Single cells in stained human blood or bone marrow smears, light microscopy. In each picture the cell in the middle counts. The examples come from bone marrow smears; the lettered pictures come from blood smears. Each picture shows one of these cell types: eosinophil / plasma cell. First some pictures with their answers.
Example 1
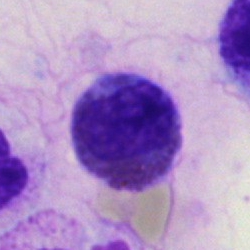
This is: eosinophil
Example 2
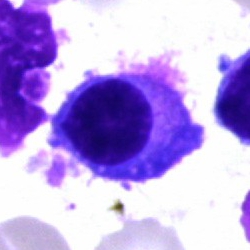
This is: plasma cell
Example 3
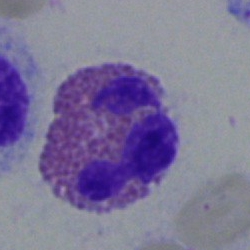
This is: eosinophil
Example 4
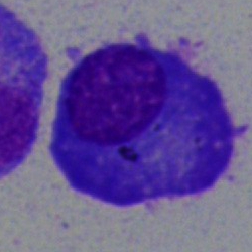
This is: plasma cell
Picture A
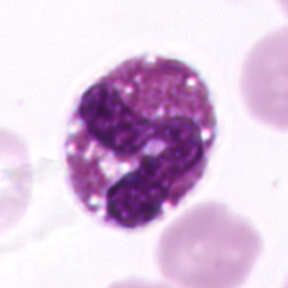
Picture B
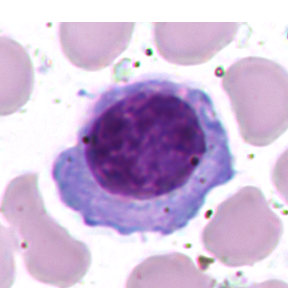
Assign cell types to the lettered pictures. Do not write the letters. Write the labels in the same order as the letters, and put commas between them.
eosinophil, plasma cell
